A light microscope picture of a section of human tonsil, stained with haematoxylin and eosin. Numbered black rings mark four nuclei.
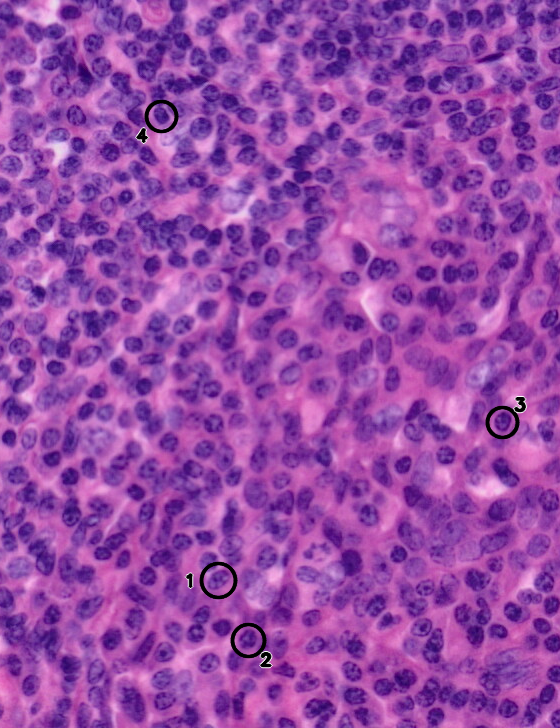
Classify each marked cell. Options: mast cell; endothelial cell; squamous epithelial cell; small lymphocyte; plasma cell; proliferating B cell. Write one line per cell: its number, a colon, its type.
1: plasma cell
2: plasma cell
3: plasma cell
4: small lymphocyte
